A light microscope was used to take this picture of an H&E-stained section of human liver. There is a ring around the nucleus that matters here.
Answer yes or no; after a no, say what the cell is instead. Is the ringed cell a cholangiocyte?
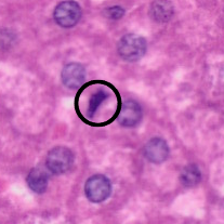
No, it is a fibroblast or stellate cell.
